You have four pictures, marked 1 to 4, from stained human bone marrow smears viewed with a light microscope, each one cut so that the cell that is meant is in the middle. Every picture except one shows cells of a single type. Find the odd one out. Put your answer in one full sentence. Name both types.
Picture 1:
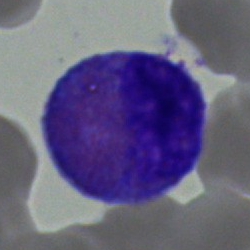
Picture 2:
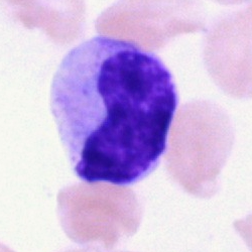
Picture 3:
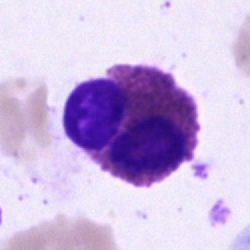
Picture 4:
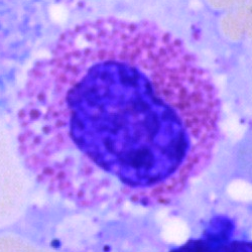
Picture 2 differs, because its cell is a metamyelocyte and the rest are eosinophils.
